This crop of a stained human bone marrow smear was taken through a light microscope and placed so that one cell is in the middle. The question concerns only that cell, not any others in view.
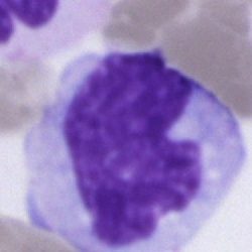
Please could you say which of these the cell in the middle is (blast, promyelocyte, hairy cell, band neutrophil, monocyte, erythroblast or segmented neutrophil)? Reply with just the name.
monocyte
